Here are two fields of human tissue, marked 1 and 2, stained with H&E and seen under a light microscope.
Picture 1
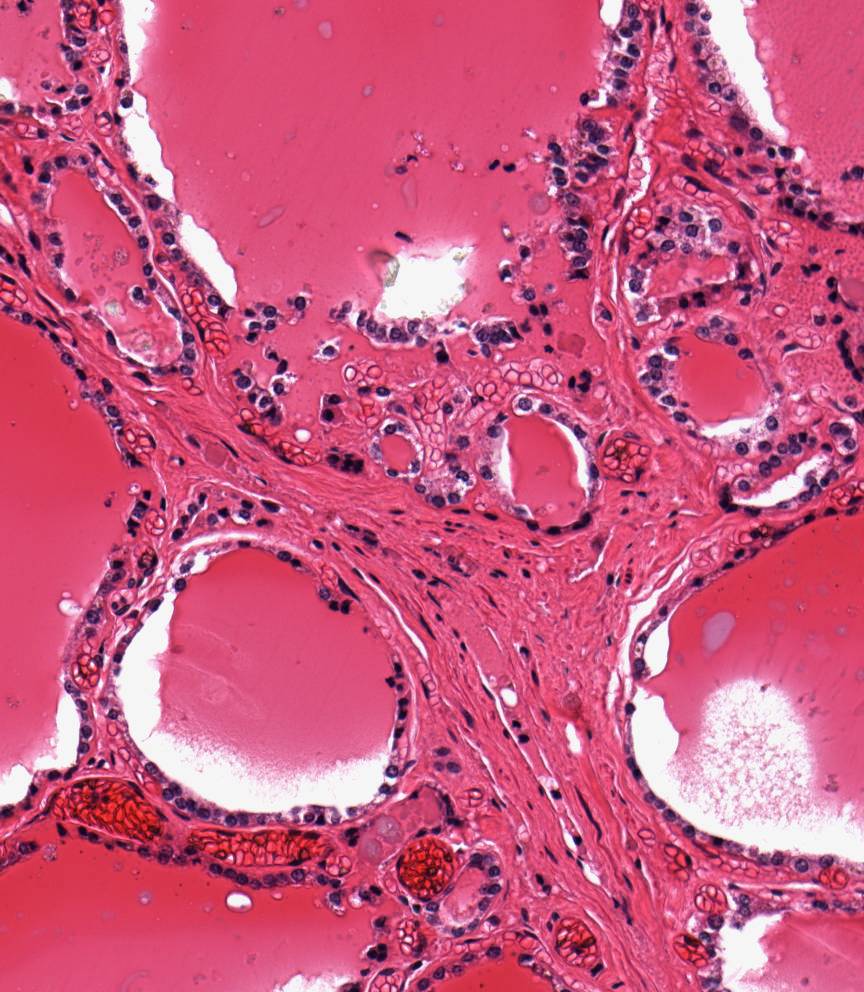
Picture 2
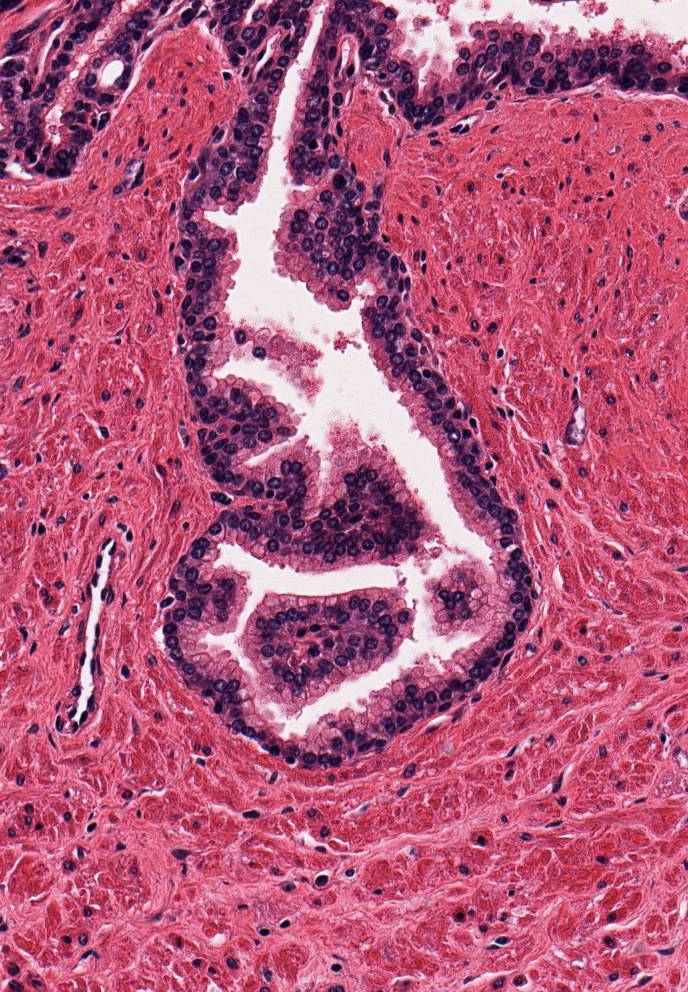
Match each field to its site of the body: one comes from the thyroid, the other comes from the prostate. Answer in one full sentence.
Picture 1 comes from the thyroid; picture 2 comes from the prostate.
